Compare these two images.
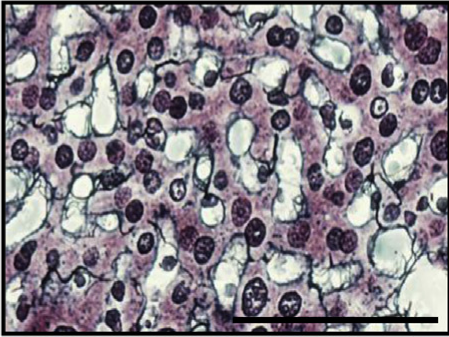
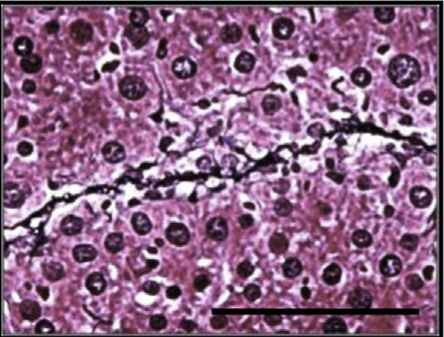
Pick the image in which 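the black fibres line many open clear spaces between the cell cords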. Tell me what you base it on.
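First image: black fibres surround numerous clear open spaces between the cells. The answer: the first image.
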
